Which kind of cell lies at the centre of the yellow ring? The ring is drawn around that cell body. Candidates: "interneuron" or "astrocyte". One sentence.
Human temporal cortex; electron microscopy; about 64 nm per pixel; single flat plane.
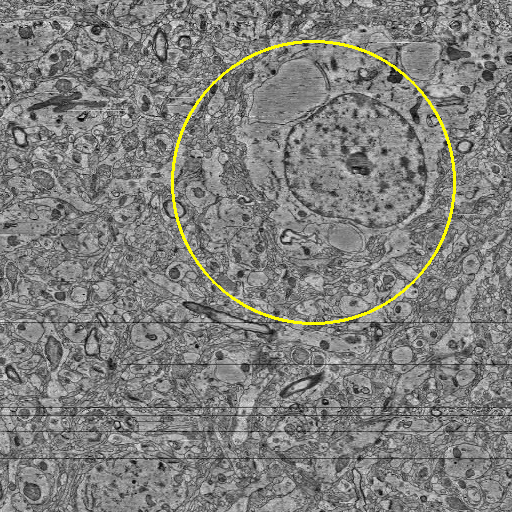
Lying at the centre of the ring is an astrocyte.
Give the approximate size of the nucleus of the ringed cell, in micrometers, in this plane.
The ringed cell's nucleus is about 9 micrometres across in this plane.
